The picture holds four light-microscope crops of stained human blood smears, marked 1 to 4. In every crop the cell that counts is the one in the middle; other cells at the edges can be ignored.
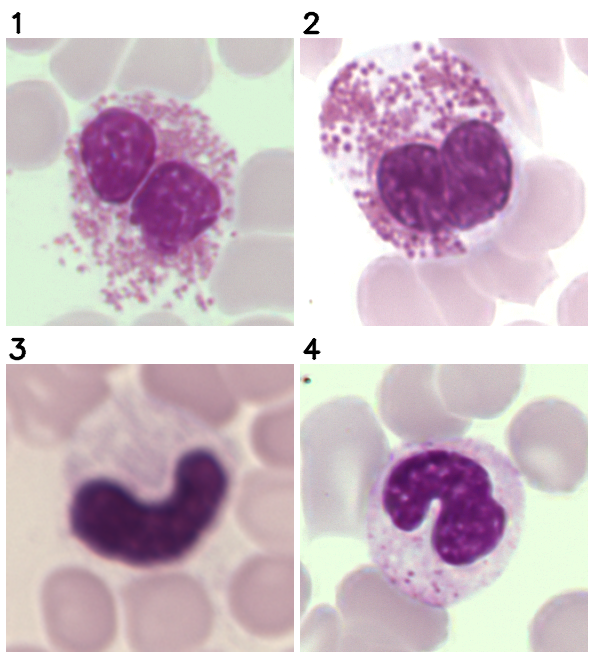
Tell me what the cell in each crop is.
1: eosinophil
2: eosinophil
3: band neutrophil
4: band neutrophil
